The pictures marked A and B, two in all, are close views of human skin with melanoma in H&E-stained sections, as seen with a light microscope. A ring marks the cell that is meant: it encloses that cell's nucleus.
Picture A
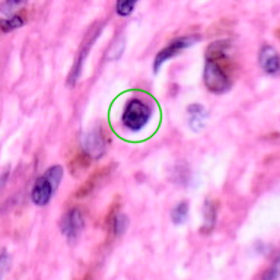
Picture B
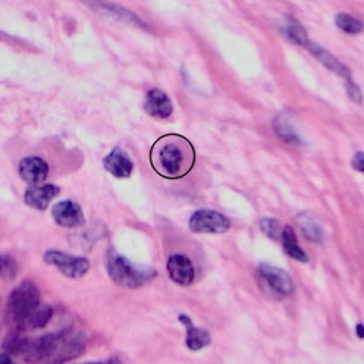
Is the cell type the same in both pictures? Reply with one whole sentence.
Yes; the cells in both pictures are plasma cells.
